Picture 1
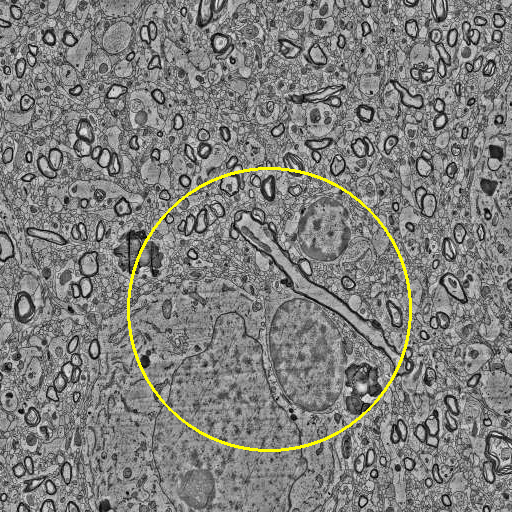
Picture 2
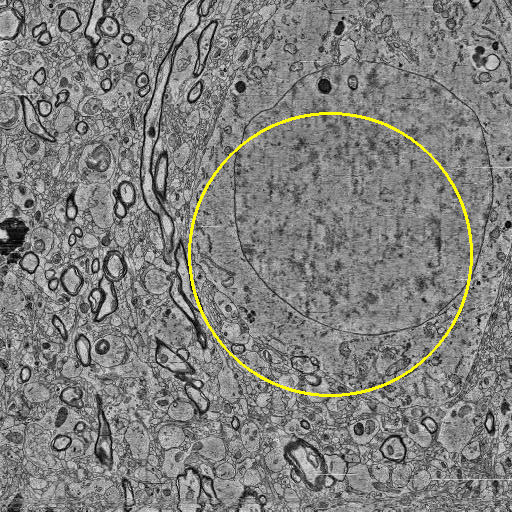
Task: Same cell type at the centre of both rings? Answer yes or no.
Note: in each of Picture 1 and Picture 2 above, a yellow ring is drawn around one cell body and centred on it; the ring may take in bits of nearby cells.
no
